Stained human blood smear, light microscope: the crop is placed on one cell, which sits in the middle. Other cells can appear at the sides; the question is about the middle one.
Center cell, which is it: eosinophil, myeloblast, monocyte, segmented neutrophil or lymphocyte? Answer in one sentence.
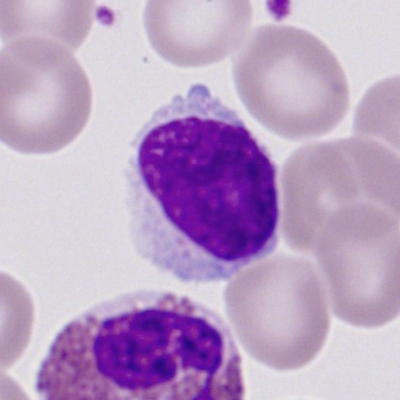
Within this crop, a lymphocyte occupies the central position.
